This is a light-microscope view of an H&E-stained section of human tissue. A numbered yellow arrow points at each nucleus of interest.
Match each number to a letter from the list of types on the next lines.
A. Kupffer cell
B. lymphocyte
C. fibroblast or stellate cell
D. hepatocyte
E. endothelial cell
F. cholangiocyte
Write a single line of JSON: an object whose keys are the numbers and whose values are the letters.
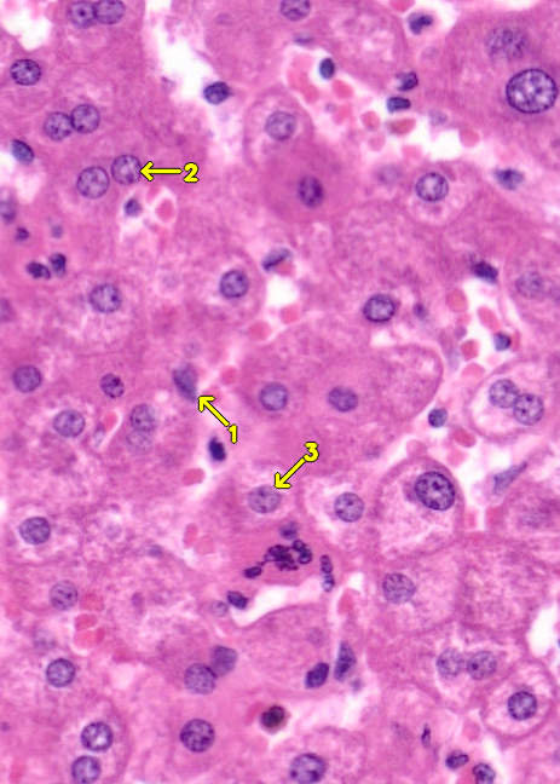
{"1": "E", "2": "D", "3": "D"}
